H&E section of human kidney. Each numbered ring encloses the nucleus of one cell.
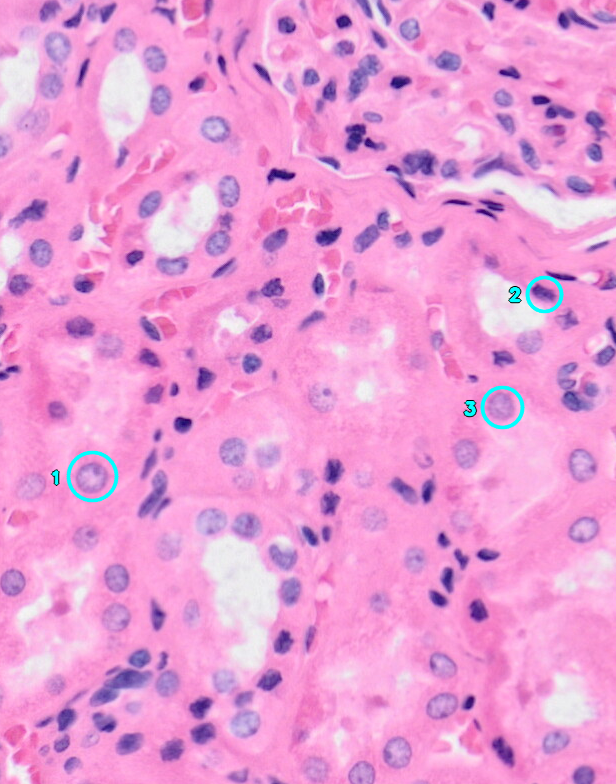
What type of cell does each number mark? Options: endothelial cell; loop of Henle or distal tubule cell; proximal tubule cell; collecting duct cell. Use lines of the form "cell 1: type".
cell 1: proximal tubule cell
cell 2: loop of Henle or distal tubule cell
cell 3: proximal tubule cell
